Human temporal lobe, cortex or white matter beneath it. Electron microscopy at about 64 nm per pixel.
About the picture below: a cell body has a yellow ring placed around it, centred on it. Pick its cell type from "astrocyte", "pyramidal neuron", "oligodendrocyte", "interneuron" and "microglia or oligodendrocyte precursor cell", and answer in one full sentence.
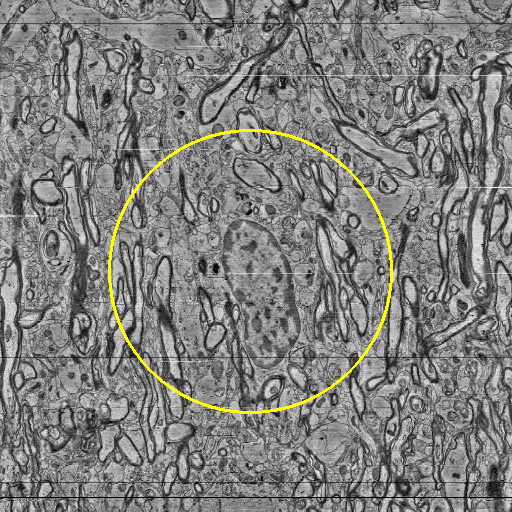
In the picture, a microglial cell or oligodendrocyte precursor cell is the cell sitting at the centre of the yellow ring.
